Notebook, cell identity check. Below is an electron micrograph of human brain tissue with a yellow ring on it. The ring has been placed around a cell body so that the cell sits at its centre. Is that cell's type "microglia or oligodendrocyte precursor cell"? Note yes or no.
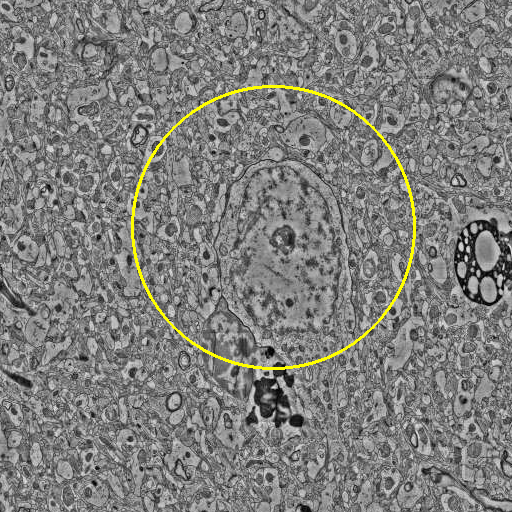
No, its cell type is another one.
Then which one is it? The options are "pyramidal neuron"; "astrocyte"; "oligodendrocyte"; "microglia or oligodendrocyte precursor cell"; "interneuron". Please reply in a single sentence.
The cell at the middle of the ring is an interneuron.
